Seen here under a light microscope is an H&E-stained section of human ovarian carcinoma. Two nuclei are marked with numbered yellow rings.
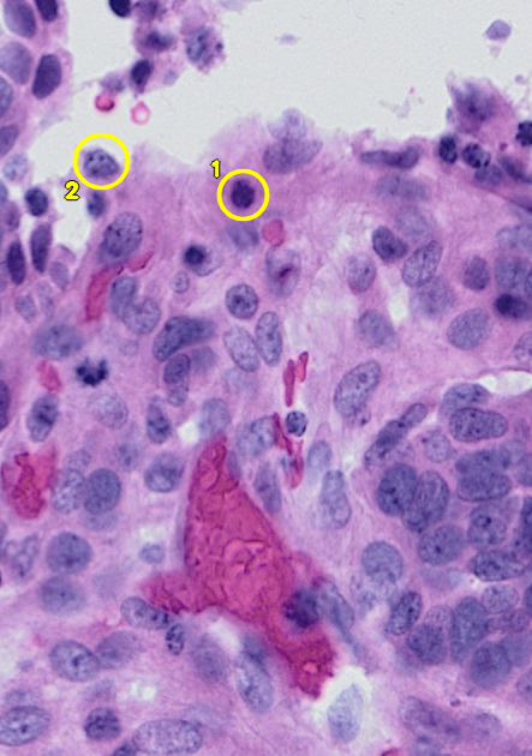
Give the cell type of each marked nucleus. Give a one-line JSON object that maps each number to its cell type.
{"1": "lymphocyte", "2": "macrophage or monocyte"}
